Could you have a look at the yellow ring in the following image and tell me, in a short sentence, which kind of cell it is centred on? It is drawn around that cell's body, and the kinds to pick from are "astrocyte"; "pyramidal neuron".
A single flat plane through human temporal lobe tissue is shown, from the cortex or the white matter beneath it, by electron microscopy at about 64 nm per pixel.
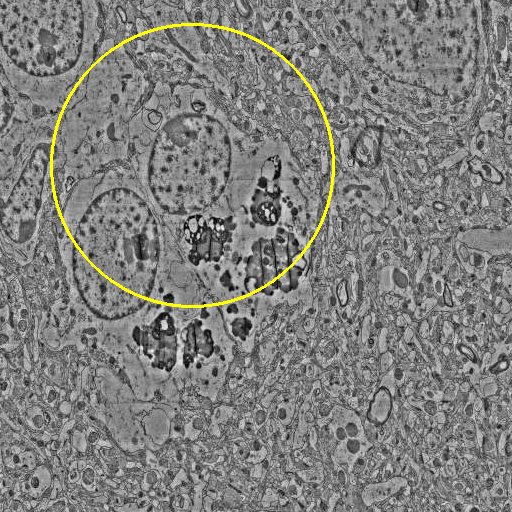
The ring is centred on the body of an astrocyte.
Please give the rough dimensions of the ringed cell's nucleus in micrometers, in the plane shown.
Roughly 7 micrometres by 5 micrometres, in this plane.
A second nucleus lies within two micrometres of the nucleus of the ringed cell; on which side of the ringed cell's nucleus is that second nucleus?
The other nucleus lies to the lower left of it in the picture.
